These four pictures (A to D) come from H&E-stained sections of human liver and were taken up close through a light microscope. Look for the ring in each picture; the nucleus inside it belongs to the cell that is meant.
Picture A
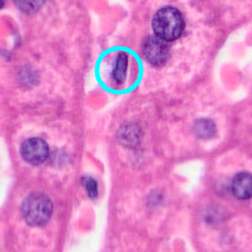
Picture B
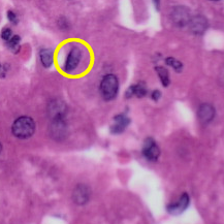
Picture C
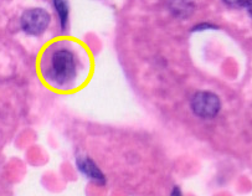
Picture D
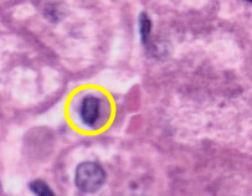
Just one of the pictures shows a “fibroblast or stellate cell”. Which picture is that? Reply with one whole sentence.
The picture with the “fibroblast or stellate cell” is B.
